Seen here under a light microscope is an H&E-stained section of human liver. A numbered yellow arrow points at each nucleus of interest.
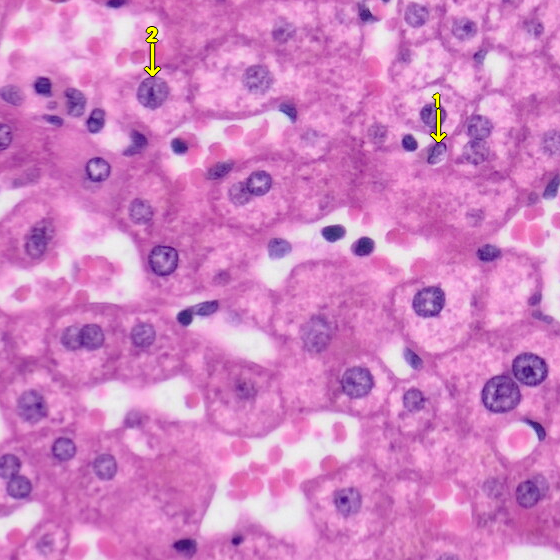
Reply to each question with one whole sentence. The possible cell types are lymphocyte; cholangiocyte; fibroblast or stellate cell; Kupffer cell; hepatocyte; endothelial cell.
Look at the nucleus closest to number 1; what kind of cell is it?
The nearest nucleus to number 1 belongs to a lymphocyte.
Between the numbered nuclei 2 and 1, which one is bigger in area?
Of the two, number 2 is bigger and takes up about 3 times the area of number 1.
